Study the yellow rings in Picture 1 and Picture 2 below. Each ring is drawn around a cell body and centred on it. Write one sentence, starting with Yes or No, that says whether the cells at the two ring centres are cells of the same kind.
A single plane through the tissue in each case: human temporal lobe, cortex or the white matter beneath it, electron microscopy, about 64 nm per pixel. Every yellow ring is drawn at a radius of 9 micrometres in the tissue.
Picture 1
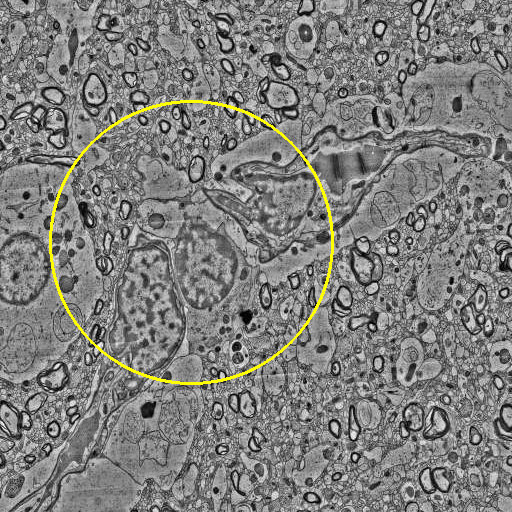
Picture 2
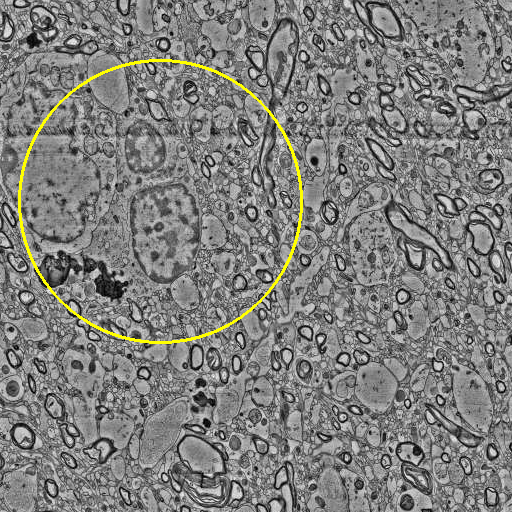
Yes, the cells at both ring centres are of the same kind.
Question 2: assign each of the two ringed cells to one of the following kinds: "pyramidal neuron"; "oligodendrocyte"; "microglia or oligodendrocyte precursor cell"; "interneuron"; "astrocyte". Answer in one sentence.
The cell at the ring centre is an oligodendrocyte in both pictures.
